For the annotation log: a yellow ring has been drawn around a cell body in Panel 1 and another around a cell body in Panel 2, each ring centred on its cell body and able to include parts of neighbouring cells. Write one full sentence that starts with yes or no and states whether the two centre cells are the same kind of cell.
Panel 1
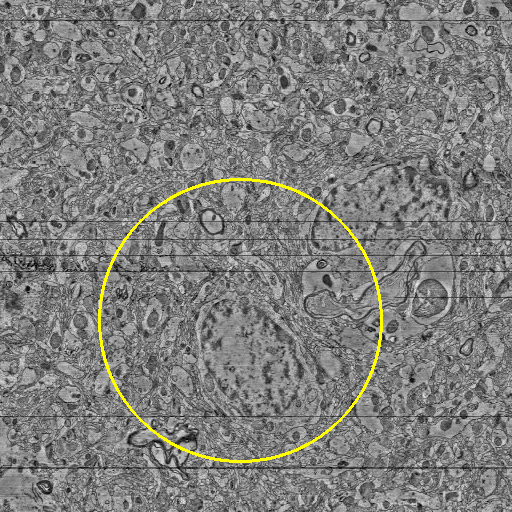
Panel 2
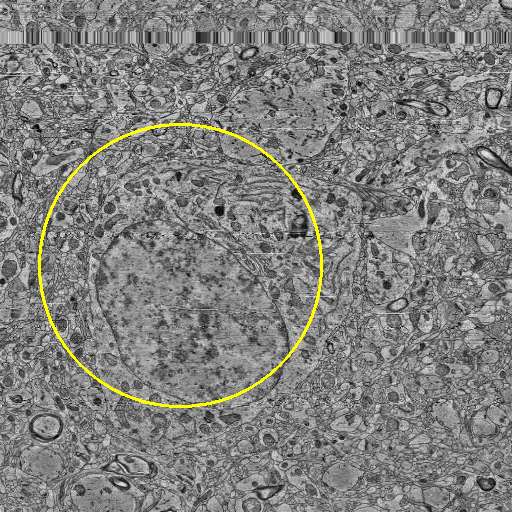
Yes, the two centre cells are the same kind of cell.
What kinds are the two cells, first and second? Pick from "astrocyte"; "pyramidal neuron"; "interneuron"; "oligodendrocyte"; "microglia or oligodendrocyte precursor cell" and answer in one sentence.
Each of the two rings is centred on an interneuron.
